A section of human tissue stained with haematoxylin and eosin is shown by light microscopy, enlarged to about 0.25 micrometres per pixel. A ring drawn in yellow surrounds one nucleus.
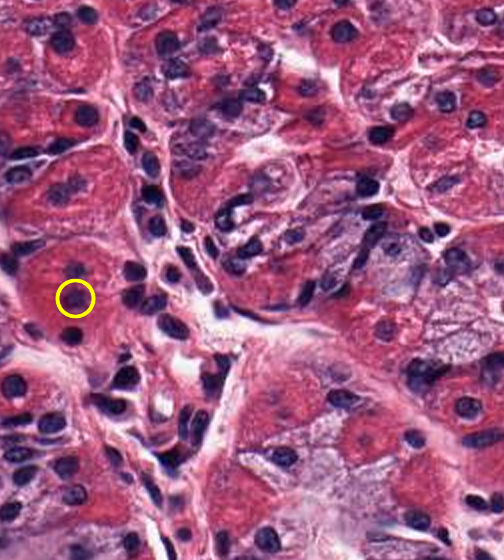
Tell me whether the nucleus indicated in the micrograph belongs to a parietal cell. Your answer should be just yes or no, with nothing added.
yes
